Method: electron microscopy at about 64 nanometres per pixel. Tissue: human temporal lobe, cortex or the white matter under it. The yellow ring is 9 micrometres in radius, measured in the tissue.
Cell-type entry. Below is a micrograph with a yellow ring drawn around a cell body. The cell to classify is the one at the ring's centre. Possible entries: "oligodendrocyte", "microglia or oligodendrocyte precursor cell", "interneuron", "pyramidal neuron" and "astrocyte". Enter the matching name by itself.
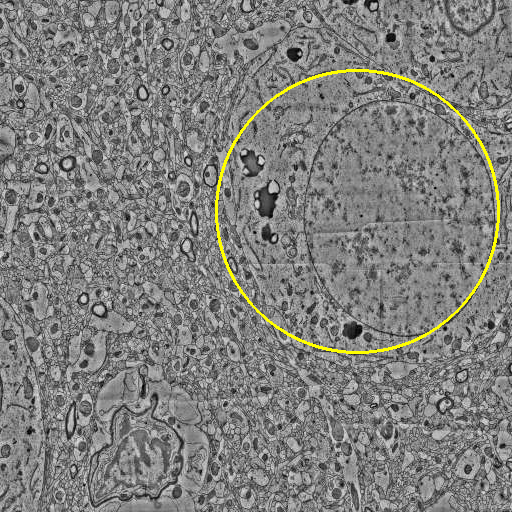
pyramidal neuron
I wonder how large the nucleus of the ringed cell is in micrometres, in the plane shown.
Roughly 16 micrometres by 12 micrometres, in this plane.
